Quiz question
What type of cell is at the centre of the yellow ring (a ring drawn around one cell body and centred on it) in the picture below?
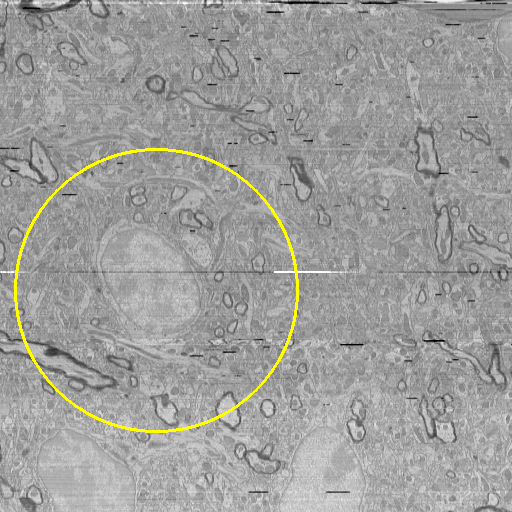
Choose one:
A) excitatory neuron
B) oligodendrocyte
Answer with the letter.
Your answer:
B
